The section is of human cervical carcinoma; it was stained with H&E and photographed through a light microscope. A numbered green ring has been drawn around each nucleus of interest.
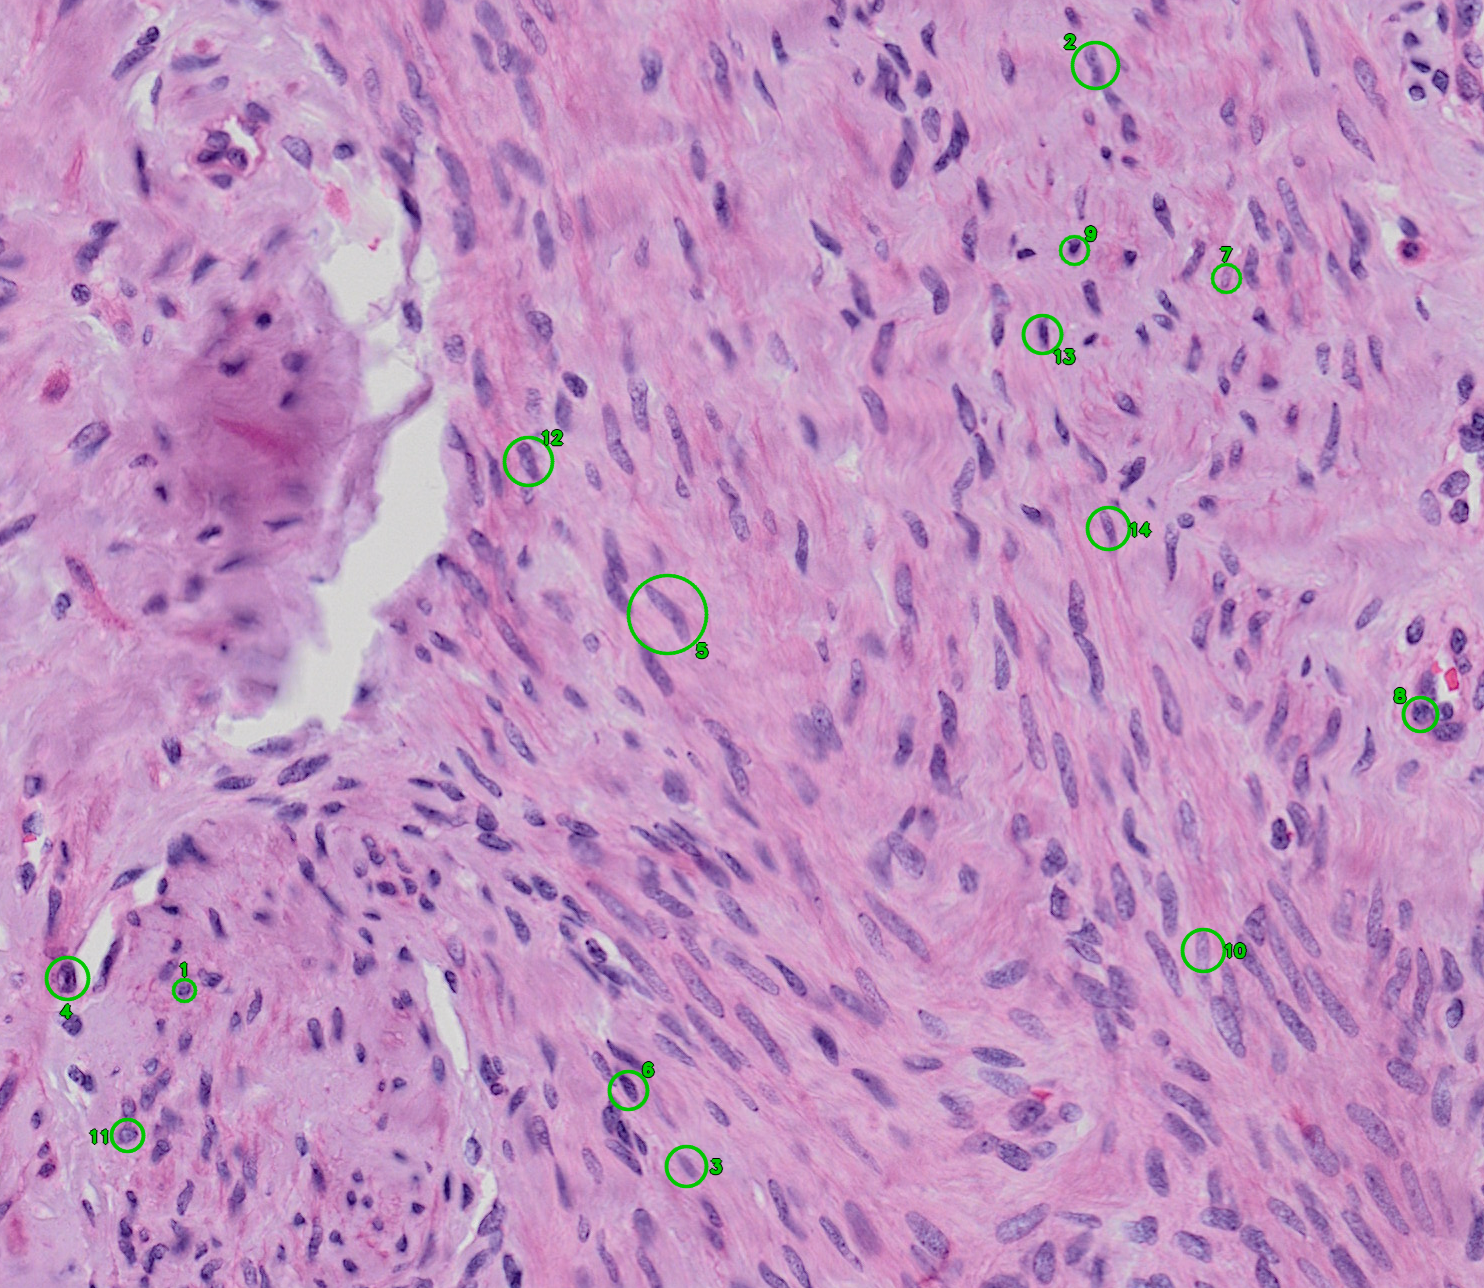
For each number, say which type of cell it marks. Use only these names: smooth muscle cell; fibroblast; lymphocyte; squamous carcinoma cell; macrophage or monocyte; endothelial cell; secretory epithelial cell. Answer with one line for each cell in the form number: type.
1: smooth muscle cell
2: fibroblast
3: fibroblast
4: endothelial cell
5: fibroblast
6: fibroblast
7: smooth muscle cell
8: endothelial cell
9: fibroblast
10: smooth muscle cell
11: smooth muscle cell
12: smooth muscle cell
13: fibroblast
14: smooth muscle cell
